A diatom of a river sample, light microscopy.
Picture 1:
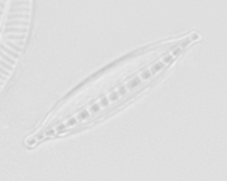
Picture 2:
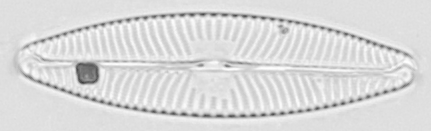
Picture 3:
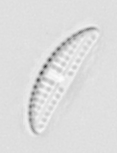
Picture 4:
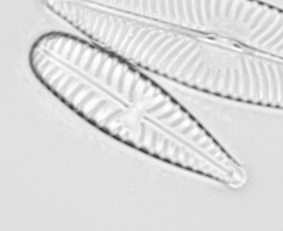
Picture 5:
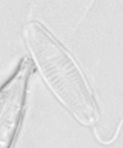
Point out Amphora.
That is picture 3.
